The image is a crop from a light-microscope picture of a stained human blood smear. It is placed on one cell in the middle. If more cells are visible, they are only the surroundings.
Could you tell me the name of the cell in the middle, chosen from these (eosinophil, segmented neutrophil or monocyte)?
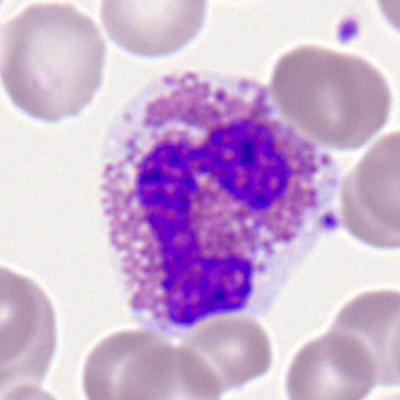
eosinophil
